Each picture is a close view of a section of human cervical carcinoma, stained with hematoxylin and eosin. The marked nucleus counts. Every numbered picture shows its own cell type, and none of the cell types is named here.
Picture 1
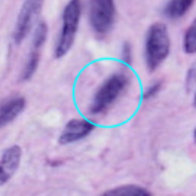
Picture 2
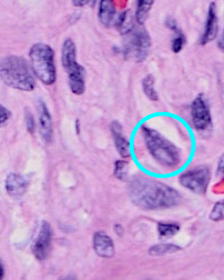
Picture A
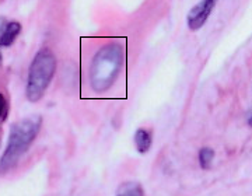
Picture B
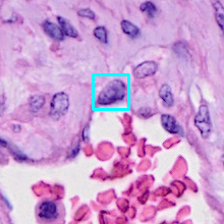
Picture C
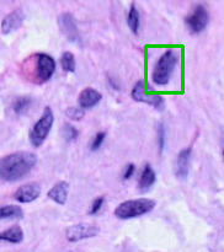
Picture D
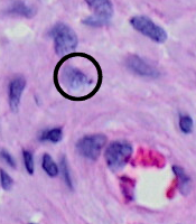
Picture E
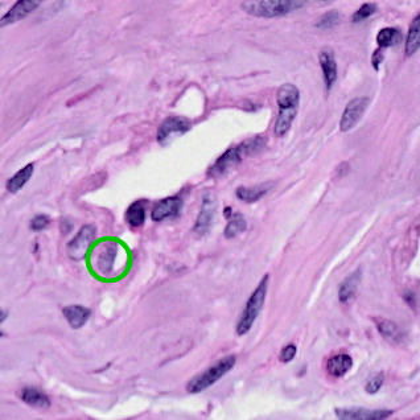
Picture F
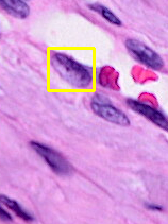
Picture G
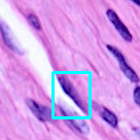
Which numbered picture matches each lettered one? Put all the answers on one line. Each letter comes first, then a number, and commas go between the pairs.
A 2, B 2, C 1, D 1, E 2, F 2, G 2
